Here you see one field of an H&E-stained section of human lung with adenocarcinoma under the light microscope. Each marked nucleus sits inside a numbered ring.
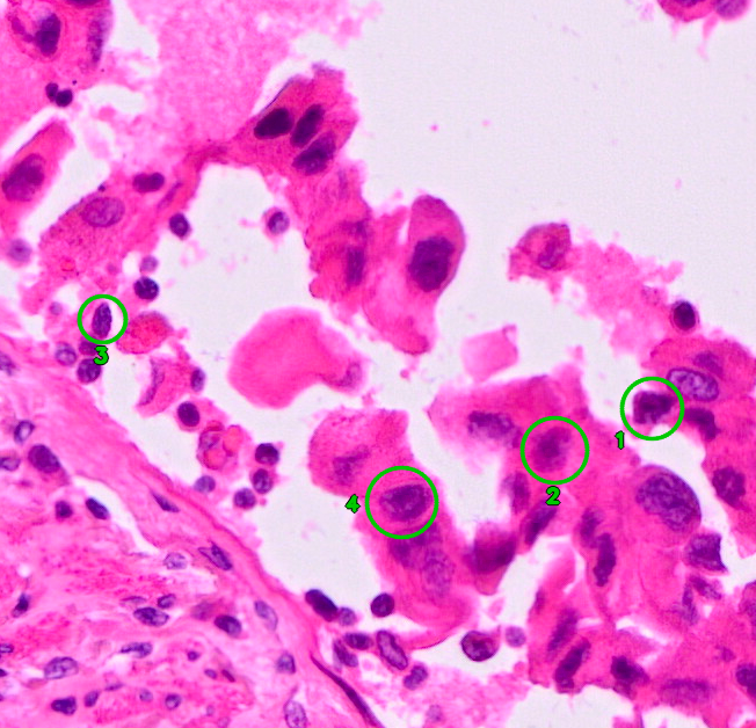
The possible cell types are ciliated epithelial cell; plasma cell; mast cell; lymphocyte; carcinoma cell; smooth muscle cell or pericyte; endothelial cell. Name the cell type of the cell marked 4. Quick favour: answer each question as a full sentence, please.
The cell numbered 4 has been identified as a carcinoma cell.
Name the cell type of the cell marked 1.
The nucleus labeled 1 belongs to a carcinoma cell.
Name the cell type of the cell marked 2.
The cell tagged with 2 in this tissue section is a carcinoma cell.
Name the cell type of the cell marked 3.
The expected answer is that cell 3 is a lymphocyte.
